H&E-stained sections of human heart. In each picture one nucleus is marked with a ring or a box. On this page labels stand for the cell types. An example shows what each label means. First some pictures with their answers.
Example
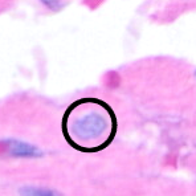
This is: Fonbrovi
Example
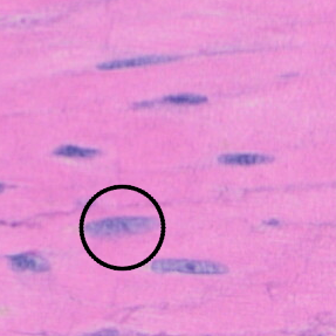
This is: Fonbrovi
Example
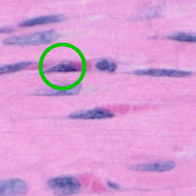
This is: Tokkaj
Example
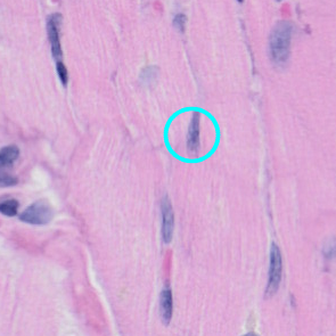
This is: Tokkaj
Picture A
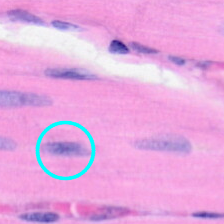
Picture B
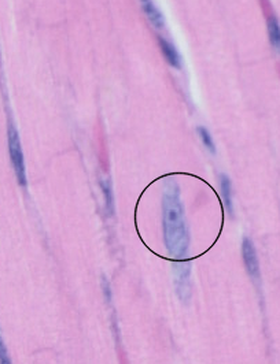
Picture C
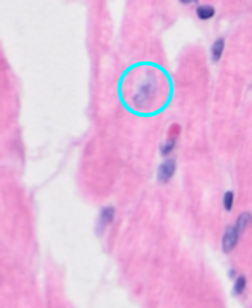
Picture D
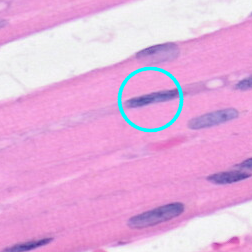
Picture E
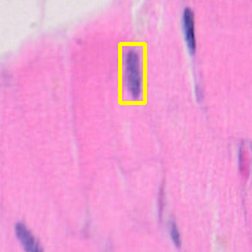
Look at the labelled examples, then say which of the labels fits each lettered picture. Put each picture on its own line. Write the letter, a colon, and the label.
A: Tokkaj
B: Fonbrovi
C: Fonbrovi
D: Tokkaj
E: Tokkaj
